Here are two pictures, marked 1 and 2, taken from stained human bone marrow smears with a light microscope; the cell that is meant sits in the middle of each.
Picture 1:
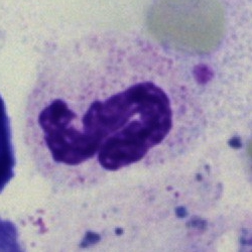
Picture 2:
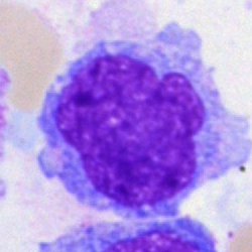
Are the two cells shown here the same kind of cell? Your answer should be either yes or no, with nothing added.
no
